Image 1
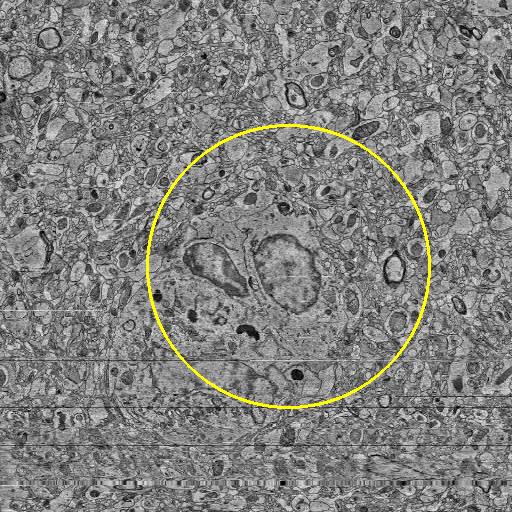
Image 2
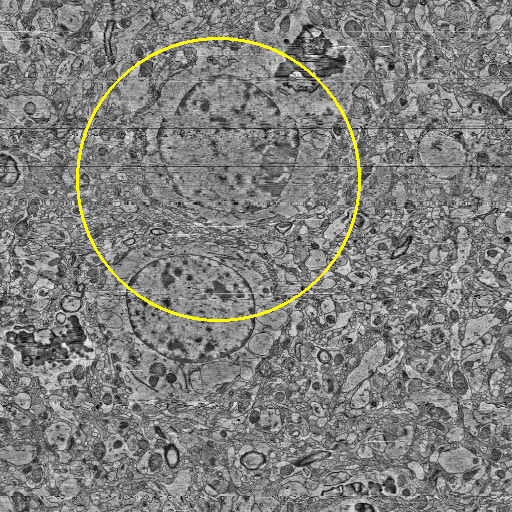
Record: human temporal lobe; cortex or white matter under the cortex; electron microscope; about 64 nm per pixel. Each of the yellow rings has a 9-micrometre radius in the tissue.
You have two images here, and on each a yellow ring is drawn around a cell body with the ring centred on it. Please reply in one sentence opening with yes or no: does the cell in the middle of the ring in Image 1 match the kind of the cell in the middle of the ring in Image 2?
No, the two images show cells of two kinds at the centres of their rings.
